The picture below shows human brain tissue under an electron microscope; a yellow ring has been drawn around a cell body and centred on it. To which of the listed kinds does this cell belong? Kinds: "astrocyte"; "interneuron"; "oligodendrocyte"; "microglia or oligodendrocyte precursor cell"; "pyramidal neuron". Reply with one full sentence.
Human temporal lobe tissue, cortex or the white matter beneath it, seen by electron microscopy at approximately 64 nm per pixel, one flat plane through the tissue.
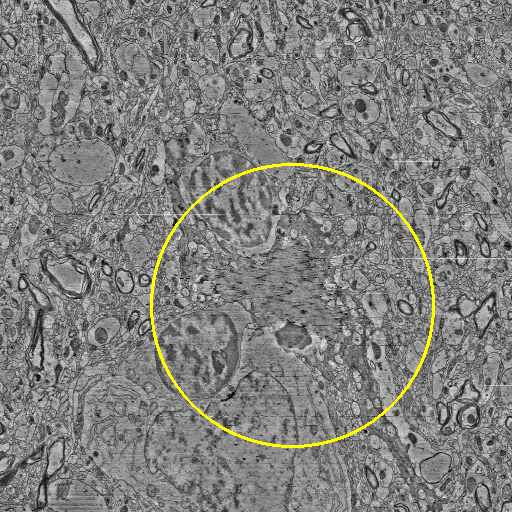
It is an interneuron that the yellow ring in the picture is centred on.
